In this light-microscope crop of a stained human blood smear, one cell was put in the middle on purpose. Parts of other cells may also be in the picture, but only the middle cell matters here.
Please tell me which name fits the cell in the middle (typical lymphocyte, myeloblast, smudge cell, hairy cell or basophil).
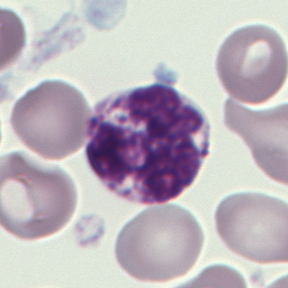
basophil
